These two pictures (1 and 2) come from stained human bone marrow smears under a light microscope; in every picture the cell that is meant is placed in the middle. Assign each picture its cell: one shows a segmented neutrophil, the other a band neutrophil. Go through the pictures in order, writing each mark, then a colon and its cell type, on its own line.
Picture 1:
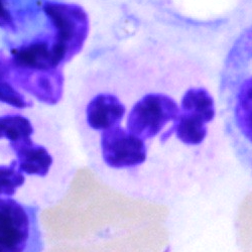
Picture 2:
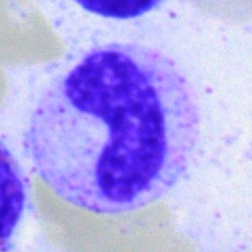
1: segmented neutrophil
2: band neutrophil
